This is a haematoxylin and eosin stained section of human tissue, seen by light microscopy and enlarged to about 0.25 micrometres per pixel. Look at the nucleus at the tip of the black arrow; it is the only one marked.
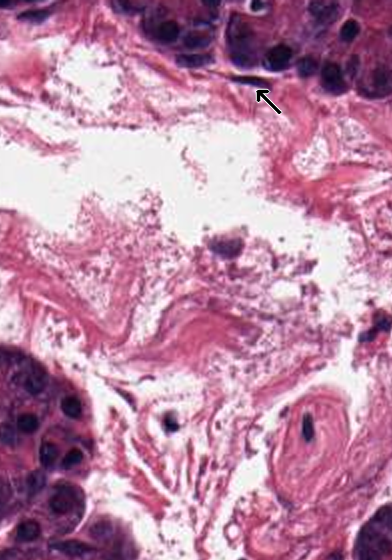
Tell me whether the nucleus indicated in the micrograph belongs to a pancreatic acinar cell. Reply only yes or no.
no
